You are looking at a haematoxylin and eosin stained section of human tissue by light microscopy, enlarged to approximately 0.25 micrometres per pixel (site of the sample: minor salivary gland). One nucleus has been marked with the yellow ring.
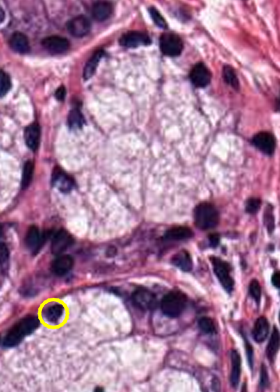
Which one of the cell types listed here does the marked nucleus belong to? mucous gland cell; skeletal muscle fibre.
mucous gland cell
